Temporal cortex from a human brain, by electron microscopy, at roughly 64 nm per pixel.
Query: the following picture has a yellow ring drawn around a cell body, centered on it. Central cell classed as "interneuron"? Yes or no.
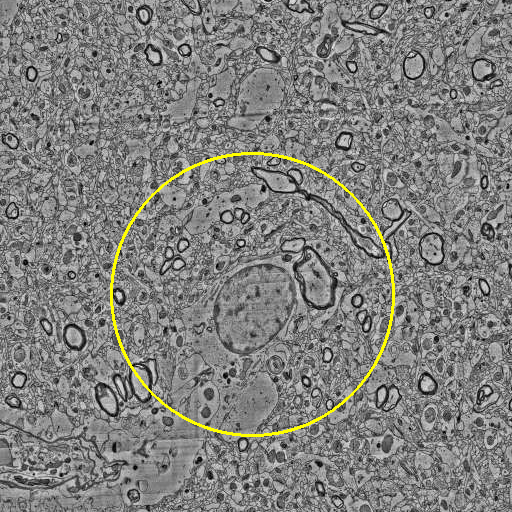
no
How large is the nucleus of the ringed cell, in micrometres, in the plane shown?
The nucleus has a long axis of about 6 micrometres and a short axis of about 5 micrometres in this plane.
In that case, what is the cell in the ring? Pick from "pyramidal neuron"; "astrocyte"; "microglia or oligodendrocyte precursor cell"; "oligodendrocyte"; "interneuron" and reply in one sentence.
The cell marked by the ring is a microglial cell or oligodendrocyte precursor cell.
